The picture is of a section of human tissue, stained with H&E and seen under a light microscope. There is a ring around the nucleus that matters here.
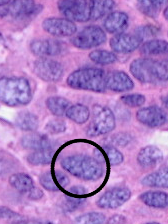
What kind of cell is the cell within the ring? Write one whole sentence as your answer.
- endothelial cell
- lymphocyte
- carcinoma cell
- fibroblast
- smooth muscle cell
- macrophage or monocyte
Typologically, the cell within the ring is a carcinoma cell in this section.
